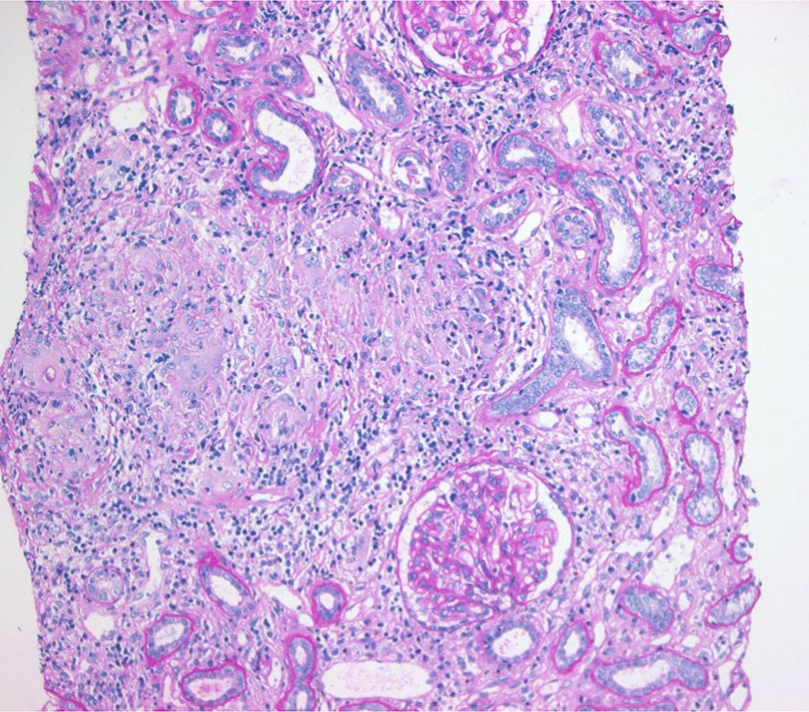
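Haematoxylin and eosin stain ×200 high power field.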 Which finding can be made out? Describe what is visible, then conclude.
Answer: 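Without necrosis. The pale cell aggregate has no central amorphous debris or cell-free zone. Cells and nuclei are present throughout the aggregate.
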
